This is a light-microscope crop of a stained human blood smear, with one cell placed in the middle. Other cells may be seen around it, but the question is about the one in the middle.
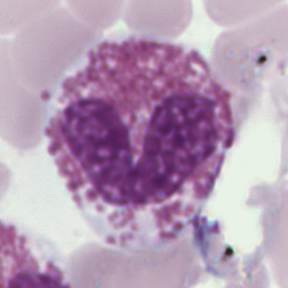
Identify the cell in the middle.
eosinophil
